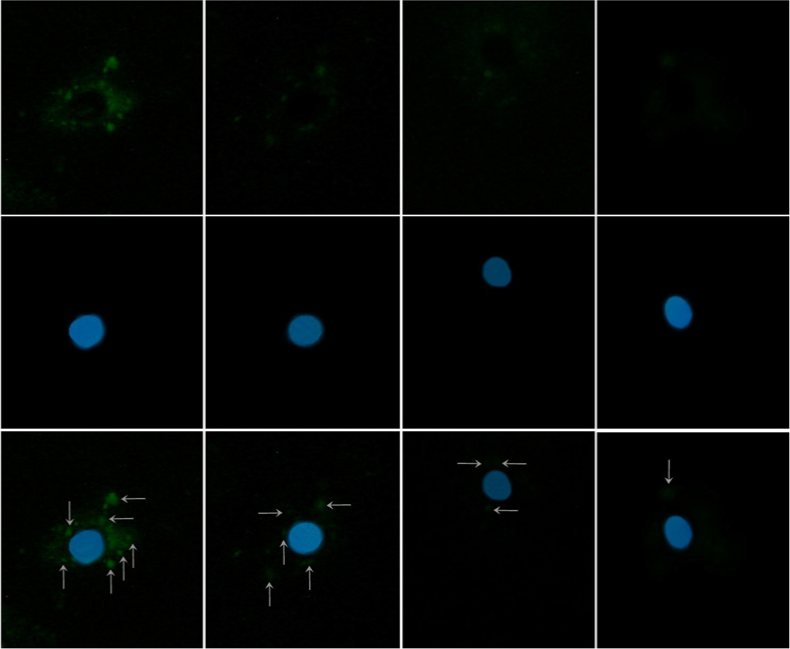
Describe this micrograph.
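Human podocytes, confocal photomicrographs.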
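The green stain fills the cytoplasm around the nucleus with a faint haze and a few brighter punctate dots, several of which are pointed out by white arrows in the merged images. From left to right the green haze and the dots become fainter and fewer, until only one or two dots remain near the nucleus.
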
